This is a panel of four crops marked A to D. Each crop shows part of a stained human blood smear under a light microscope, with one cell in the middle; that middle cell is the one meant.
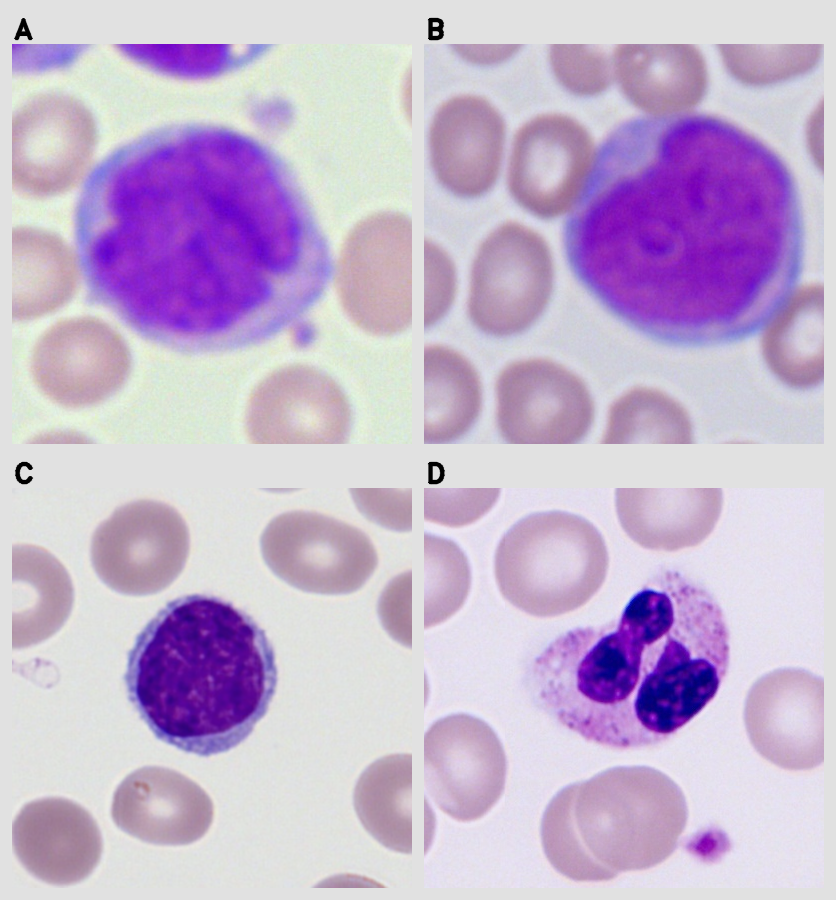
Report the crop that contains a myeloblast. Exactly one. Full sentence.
It is in crop B, among all the crops, that a myeloblast is present.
